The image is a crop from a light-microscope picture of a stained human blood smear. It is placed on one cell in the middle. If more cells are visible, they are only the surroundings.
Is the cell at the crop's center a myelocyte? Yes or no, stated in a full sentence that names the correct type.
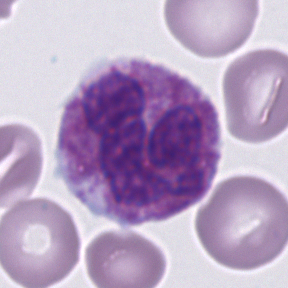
No, the cell at the centre of the crop corresponds to an eosinophil, not a myelocyte.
